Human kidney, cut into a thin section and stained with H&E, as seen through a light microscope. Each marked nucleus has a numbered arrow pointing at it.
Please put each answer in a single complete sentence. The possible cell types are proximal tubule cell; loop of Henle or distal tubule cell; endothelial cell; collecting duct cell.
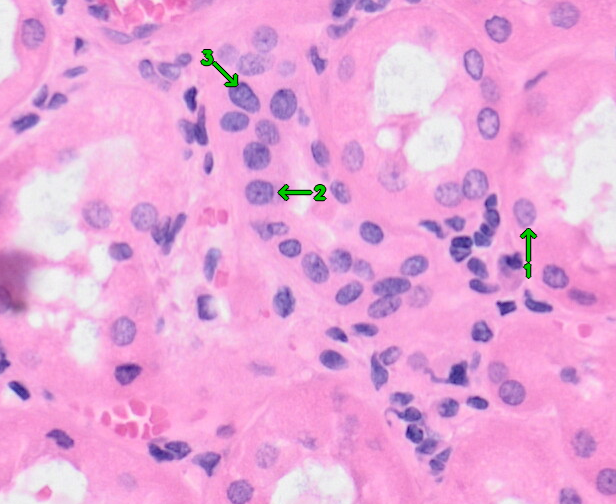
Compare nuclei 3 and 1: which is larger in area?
At about 1.5 times the area of nucleus 1, nucleus 3 is the larger of the two.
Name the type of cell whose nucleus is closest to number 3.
It is a collecting duct cell whose nucleus is nearest to number 3.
